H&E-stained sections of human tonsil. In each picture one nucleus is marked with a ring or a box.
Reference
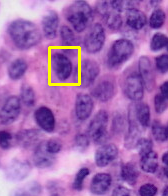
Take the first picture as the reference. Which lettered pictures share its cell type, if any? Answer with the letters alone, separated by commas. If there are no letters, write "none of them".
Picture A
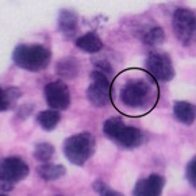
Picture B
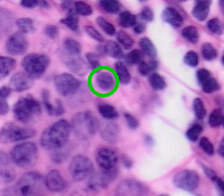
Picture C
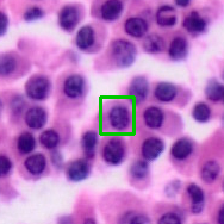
A, B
